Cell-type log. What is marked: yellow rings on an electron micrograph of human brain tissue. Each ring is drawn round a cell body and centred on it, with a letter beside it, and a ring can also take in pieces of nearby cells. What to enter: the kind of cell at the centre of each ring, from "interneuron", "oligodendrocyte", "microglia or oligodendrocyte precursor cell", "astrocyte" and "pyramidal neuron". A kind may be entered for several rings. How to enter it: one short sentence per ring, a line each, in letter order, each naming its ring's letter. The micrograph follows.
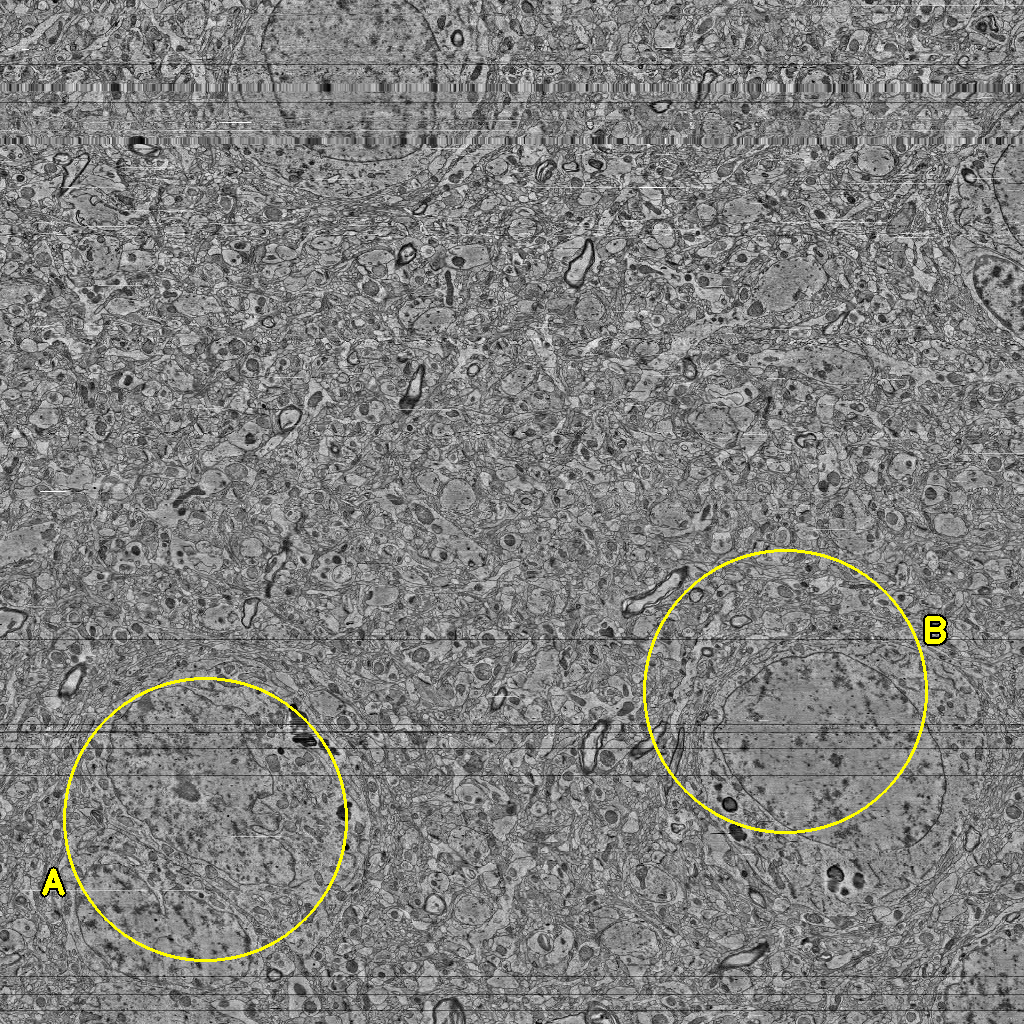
For ring A, the centre cell is an interneuron.
For ring B, the centre cell is a pyramidal neuron.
